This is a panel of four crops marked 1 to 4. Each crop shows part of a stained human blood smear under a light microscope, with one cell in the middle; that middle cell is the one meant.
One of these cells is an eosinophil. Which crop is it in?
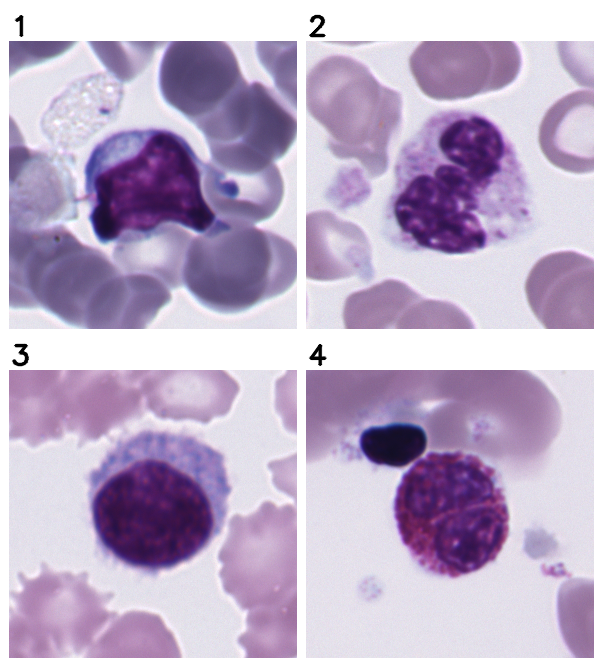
4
